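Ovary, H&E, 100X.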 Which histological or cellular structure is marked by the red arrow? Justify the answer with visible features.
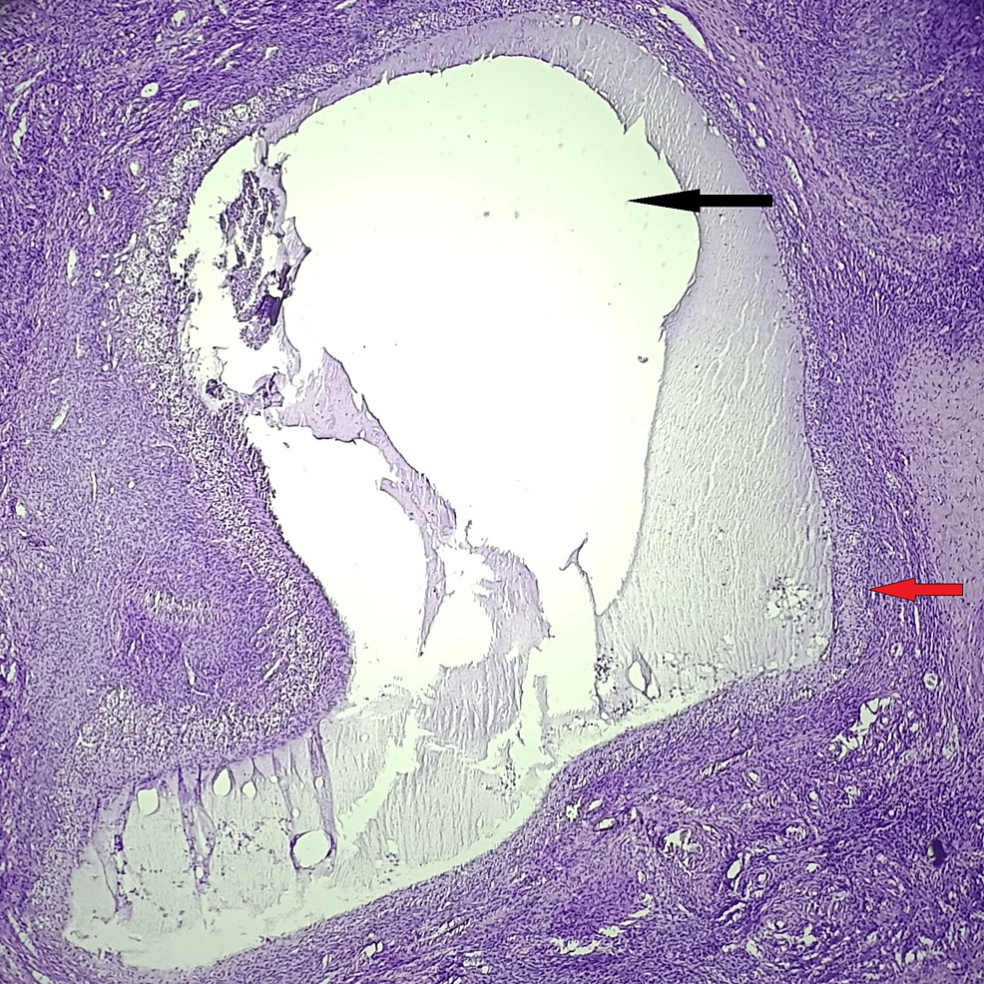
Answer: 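A band of closely packed cells borders the cavity. The band is several cells thick rather than a single layer. Outside the band lies spindle-cell stroma.
Answer: cyst wall lined by several layers of cells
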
